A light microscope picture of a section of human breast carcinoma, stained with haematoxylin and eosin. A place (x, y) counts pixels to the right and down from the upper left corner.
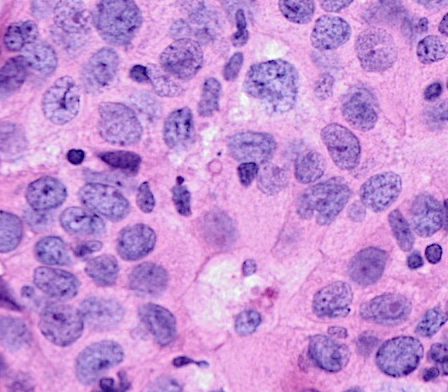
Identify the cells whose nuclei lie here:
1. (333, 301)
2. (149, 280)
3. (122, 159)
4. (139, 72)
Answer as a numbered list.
1. carcinoma cell
2. carcinoma cell
3. carcinoma cell
4. lymphocyte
